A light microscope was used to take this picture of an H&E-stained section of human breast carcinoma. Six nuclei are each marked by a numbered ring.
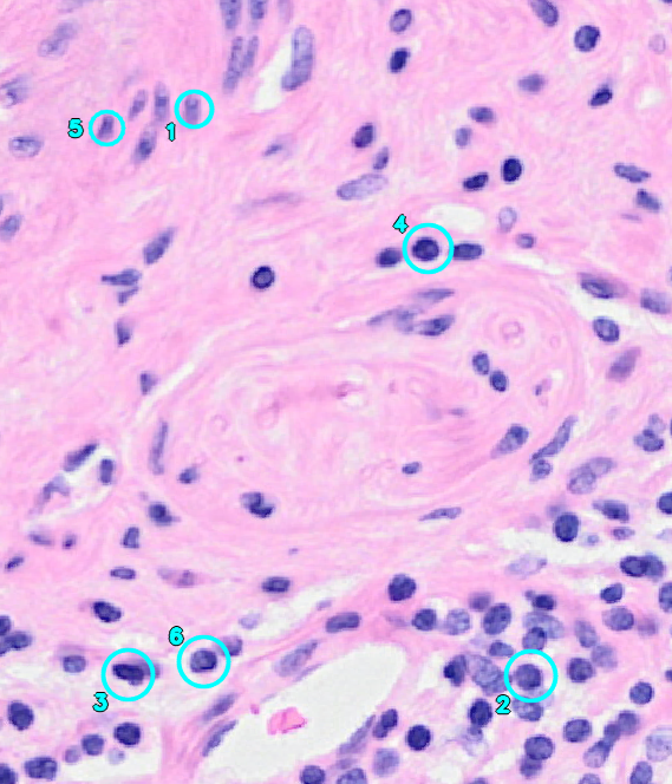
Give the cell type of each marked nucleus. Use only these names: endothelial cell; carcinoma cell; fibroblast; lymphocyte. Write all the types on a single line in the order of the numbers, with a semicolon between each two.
endothelial cell; lymphocyte; lymphocyte; lymphocyte; endothelial cell; lymphocyte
